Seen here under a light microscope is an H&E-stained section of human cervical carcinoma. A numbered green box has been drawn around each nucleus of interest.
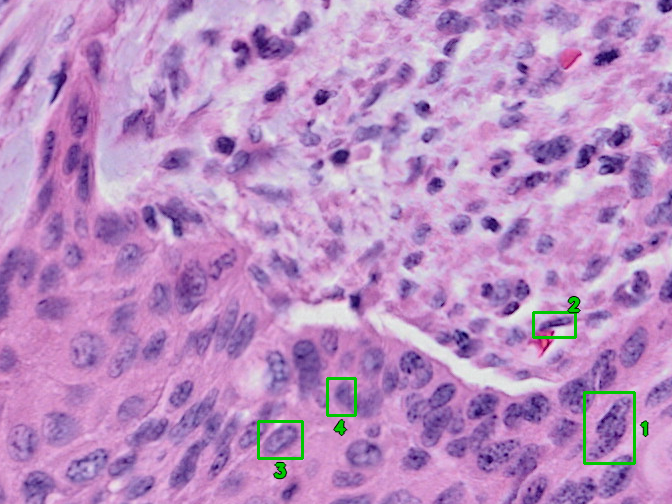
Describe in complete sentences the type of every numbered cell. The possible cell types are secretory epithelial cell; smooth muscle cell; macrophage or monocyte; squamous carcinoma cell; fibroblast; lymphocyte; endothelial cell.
Cells 1, 3 and 4 are squamous carcinoma cells. Cell 2 is an endothelial cell.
